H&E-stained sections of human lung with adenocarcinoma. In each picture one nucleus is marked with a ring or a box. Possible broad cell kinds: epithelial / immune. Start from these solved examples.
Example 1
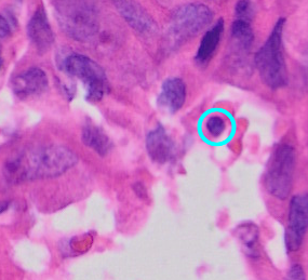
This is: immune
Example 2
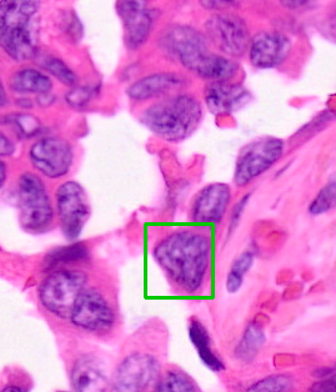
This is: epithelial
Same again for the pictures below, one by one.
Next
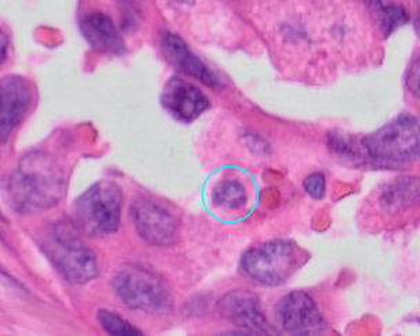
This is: immune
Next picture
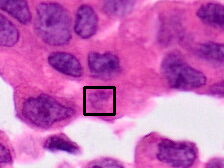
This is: epithelial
